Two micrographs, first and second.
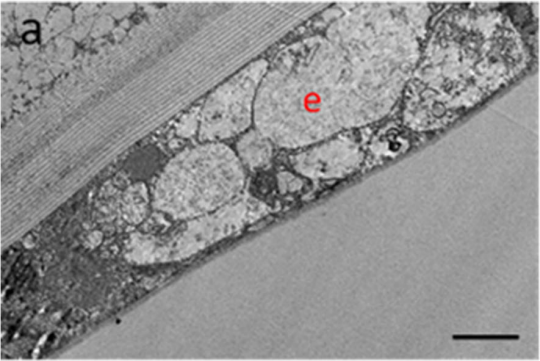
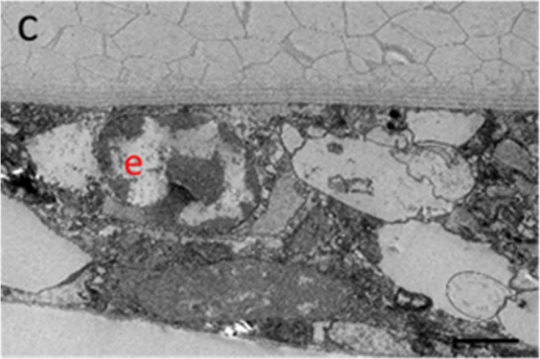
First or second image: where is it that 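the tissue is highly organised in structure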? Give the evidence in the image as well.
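Second image: cells of irregular shape and density with large empty spaces and scattered membranous debris between them.
Conclusion: the first image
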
